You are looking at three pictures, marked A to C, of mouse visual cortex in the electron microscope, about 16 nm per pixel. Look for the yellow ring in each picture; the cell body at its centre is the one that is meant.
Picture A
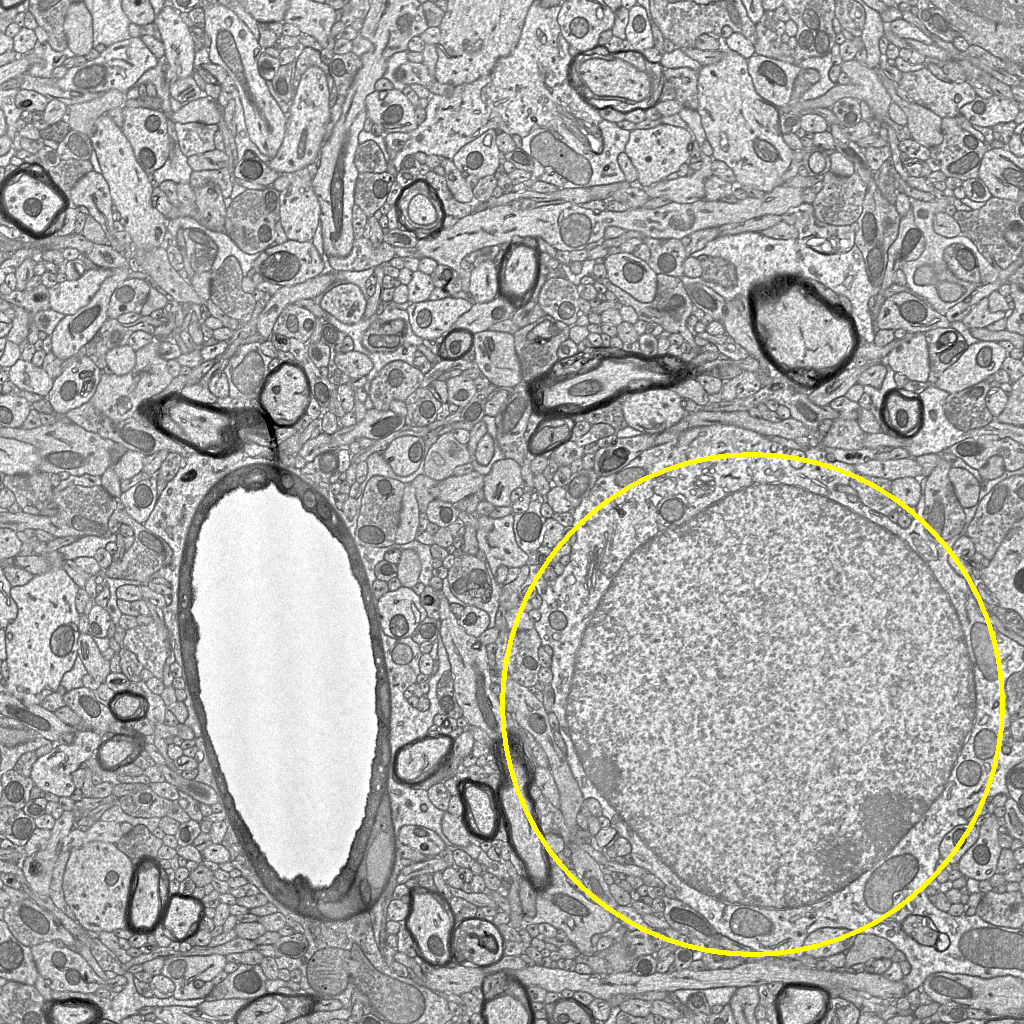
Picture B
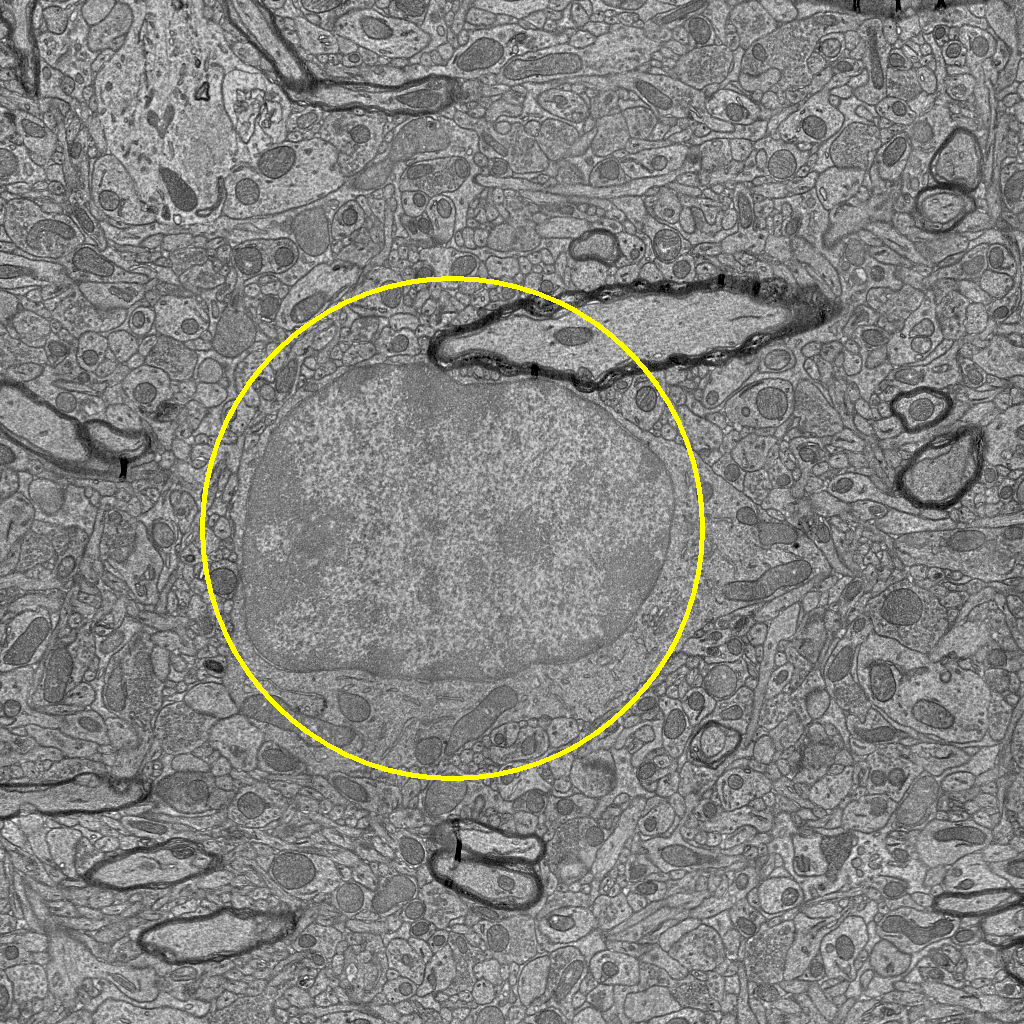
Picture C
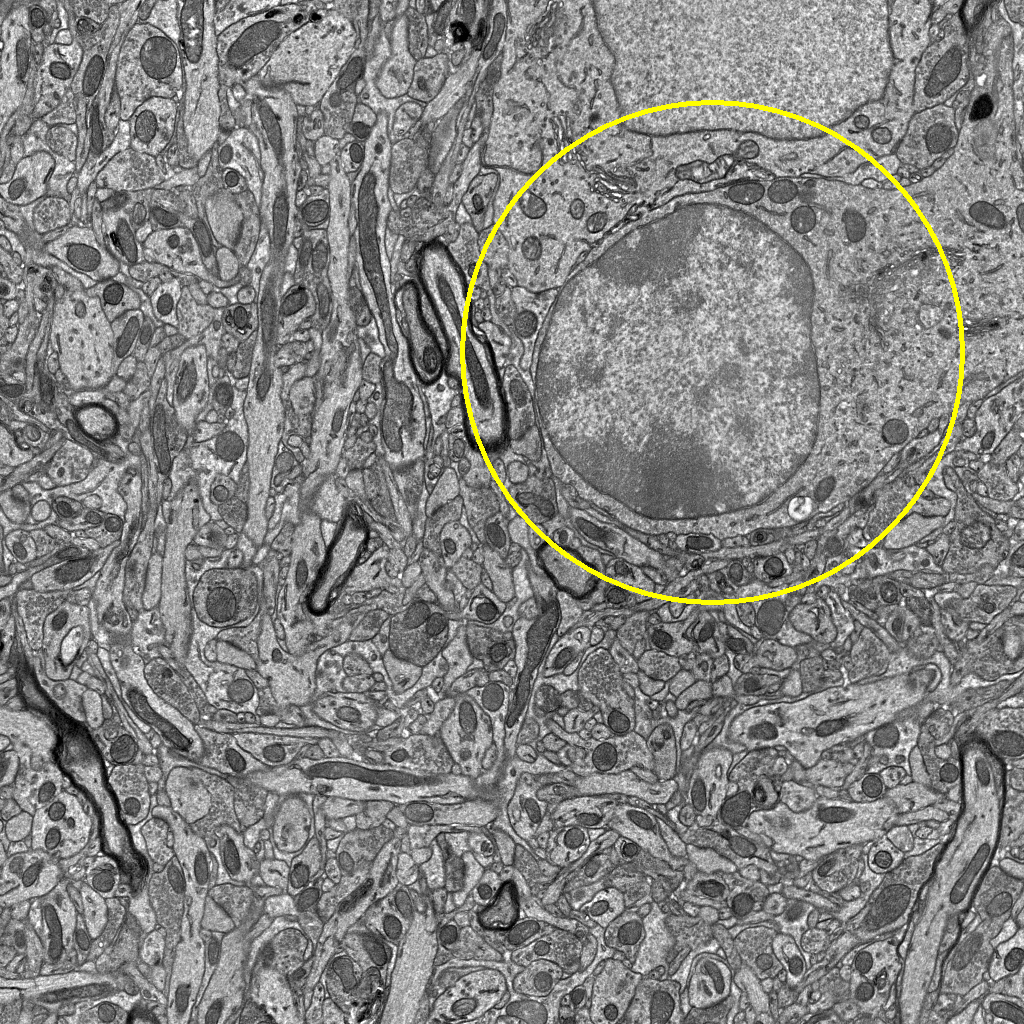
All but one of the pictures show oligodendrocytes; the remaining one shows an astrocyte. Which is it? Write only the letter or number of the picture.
A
